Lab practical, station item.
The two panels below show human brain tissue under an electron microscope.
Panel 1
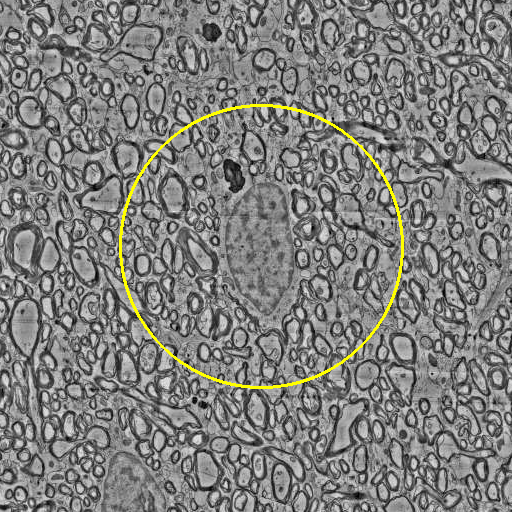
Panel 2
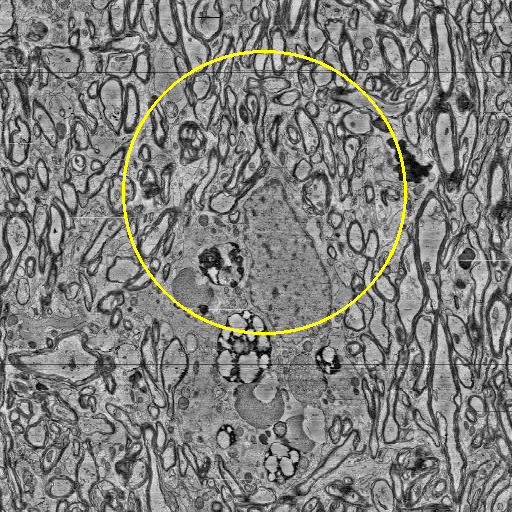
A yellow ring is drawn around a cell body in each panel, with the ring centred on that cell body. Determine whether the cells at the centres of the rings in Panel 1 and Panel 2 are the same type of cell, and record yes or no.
no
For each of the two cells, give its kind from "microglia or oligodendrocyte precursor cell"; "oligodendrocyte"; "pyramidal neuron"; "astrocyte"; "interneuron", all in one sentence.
The first picture has an oligodendrocyte in its ring, the second has an astrocyte.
